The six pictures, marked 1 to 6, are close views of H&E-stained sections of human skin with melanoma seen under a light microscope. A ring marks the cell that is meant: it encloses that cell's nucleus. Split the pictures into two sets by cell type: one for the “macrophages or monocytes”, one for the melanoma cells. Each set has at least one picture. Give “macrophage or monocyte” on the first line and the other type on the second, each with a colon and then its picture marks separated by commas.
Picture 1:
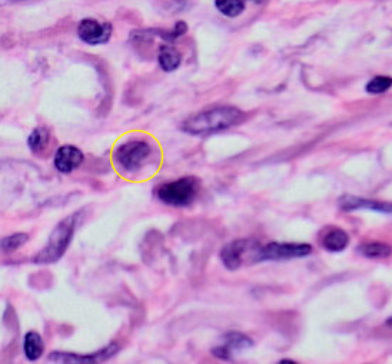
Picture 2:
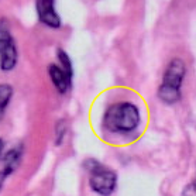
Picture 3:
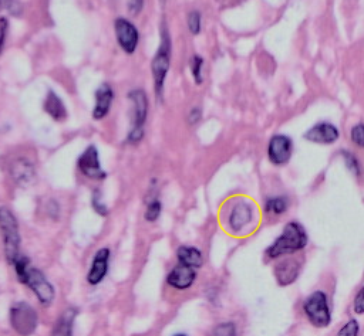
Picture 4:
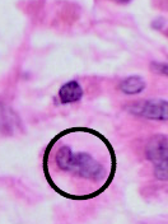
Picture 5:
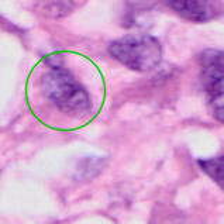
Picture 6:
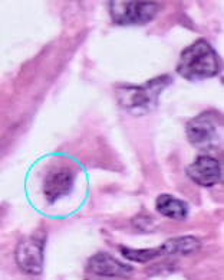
macrophage or monocyte: 1, 2, 3, 4
melanoma cell: 5, 6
